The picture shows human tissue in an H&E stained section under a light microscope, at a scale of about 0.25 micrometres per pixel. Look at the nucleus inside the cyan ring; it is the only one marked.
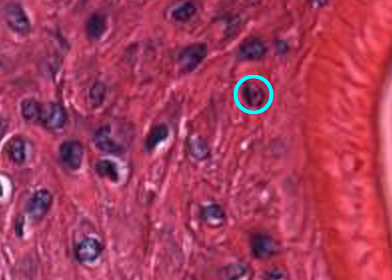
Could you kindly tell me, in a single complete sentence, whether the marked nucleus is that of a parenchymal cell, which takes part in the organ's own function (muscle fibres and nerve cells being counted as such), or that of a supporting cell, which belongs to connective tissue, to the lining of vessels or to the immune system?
The marked nucleus, belonging to a parenchymal cell, is that of a keratinocyte.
